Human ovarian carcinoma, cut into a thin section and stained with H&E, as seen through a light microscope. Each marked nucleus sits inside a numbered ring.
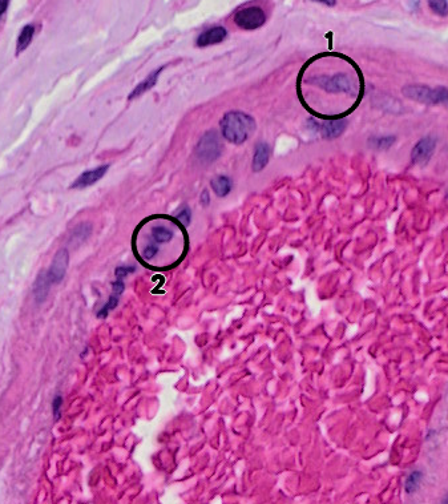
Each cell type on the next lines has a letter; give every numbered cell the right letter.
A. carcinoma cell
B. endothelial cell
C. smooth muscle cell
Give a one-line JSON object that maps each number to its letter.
{"1": "C", "2": "B"}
